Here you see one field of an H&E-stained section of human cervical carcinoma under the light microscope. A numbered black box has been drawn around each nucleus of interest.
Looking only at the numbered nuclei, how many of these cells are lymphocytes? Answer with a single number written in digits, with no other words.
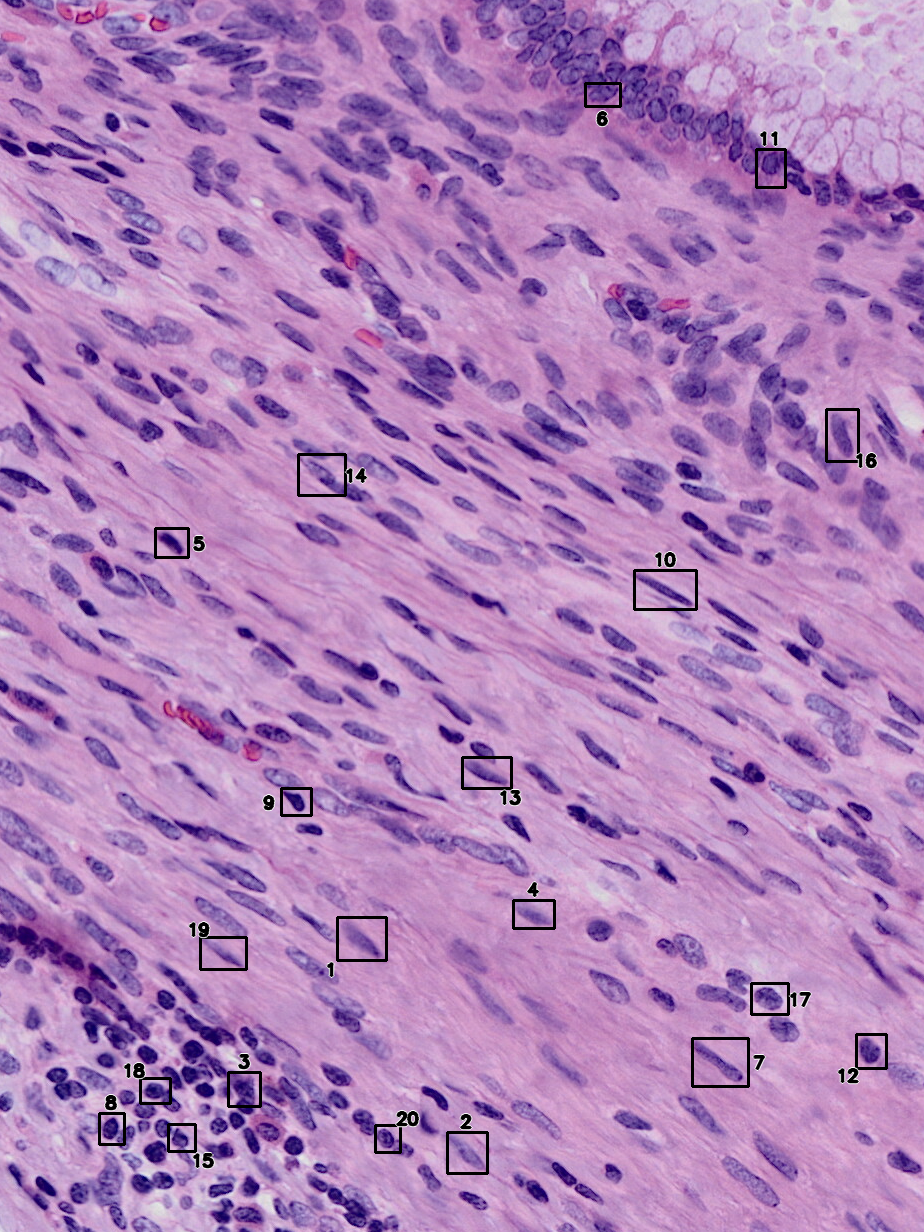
9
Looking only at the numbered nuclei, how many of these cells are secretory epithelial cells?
2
